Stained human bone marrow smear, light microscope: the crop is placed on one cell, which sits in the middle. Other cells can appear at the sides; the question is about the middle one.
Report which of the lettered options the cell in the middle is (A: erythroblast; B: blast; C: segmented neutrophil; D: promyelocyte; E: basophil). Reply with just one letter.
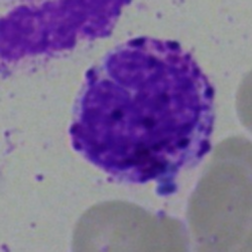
E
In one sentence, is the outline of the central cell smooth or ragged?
Its outline is ragged or drawn out into projections, not smooth.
